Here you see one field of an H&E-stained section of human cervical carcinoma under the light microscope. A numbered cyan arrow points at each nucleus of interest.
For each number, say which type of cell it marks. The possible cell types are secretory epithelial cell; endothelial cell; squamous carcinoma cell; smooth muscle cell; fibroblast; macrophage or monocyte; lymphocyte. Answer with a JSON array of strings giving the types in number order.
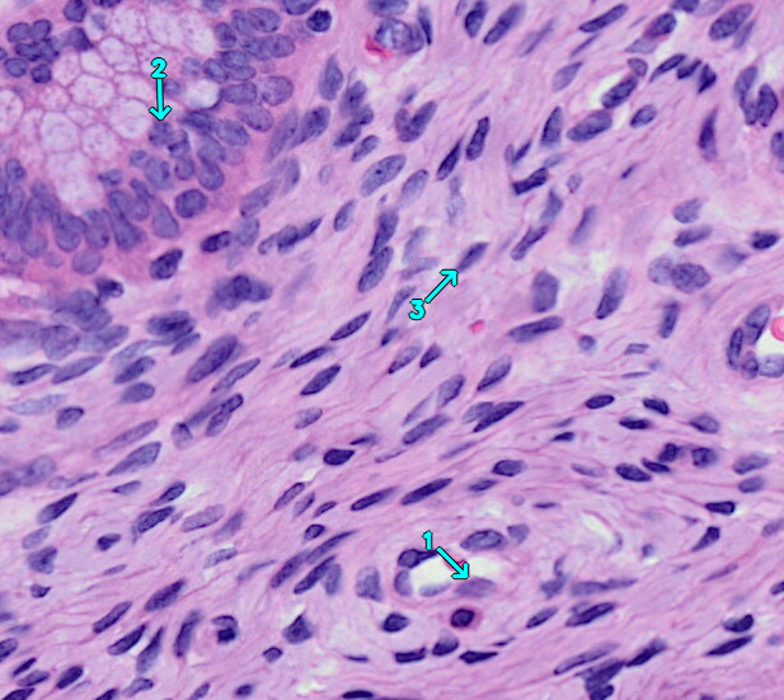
["endothelial cell", "secretory epithelial cell", "fibroblast"]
